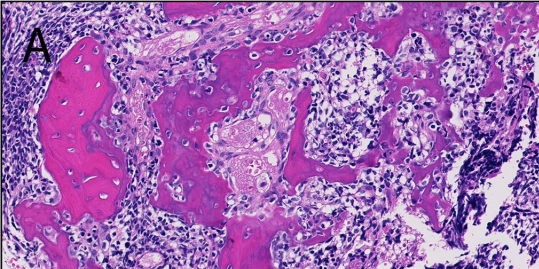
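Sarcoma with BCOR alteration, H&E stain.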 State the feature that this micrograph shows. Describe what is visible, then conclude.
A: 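Primitive osteoid deposition. Irregular, anastomosing deep pink homogeneous matrix trabeculae lie among the tumor cells. Some cells sit in lacuna-like spaces within the pink matrix.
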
